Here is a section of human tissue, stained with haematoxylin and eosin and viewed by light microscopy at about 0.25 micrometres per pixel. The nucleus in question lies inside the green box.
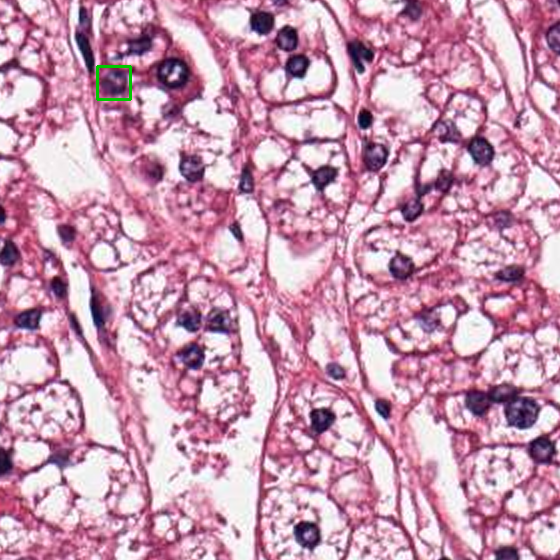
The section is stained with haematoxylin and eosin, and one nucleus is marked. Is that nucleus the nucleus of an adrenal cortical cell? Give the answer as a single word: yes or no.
yes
